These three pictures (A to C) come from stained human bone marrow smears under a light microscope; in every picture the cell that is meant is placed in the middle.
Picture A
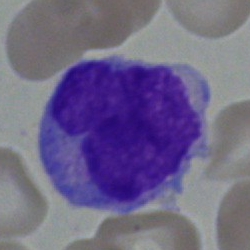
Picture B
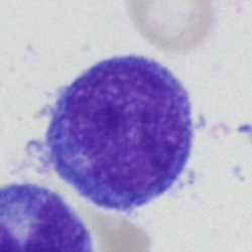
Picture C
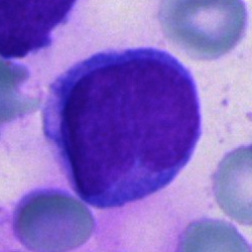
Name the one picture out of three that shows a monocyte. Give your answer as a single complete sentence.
The cell in picture A is the monocyte.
